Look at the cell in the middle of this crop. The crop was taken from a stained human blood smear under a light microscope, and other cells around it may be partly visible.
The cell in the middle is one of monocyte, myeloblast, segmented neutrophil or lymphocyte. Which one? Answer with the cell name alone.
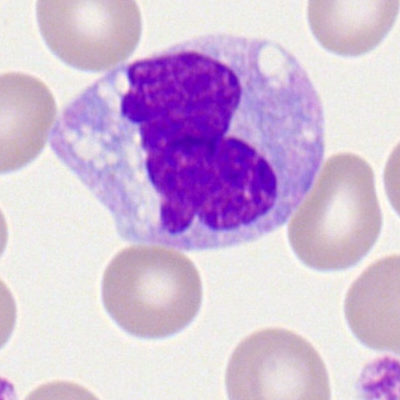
monocyte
